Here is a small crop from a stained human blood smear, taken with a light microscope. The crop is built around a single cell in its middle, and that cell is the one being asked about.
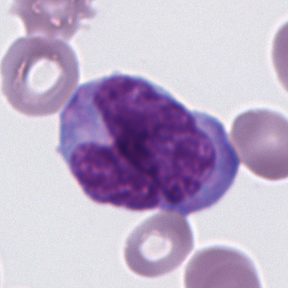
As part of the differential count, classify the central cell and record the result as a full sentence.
The centrally placed cell is classified as an atypical promyelocyte.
